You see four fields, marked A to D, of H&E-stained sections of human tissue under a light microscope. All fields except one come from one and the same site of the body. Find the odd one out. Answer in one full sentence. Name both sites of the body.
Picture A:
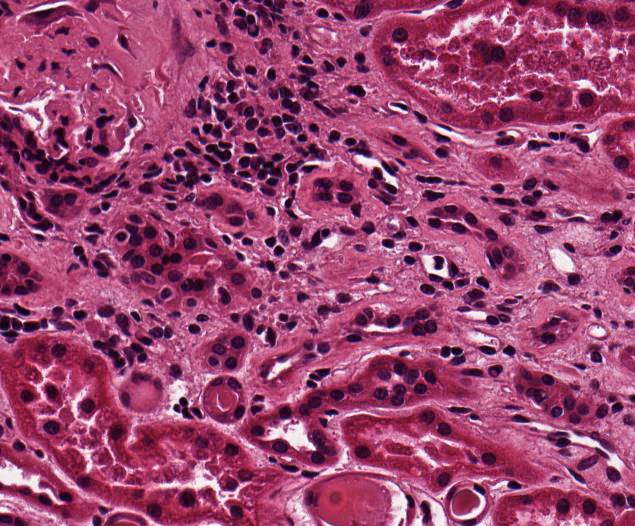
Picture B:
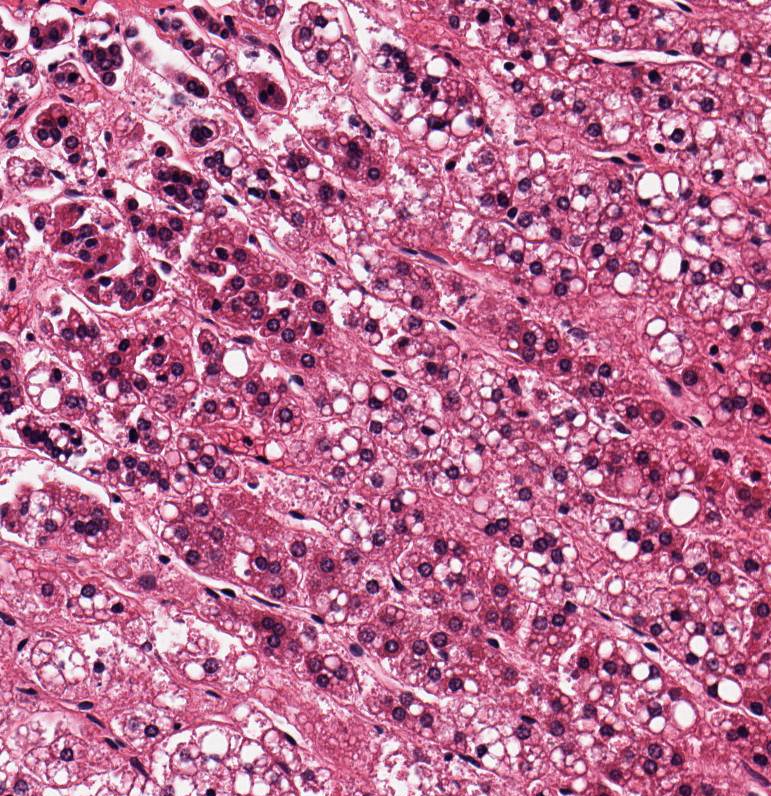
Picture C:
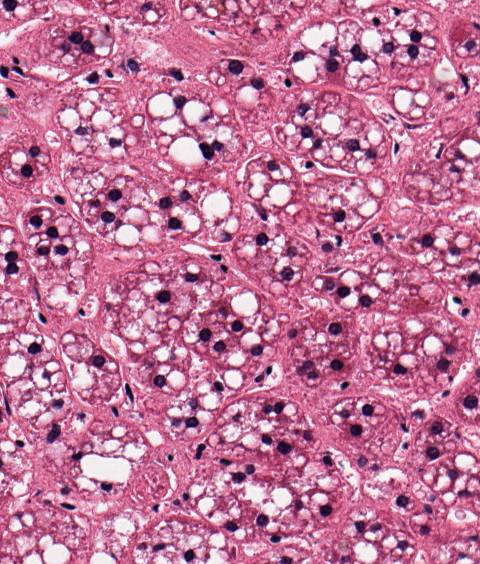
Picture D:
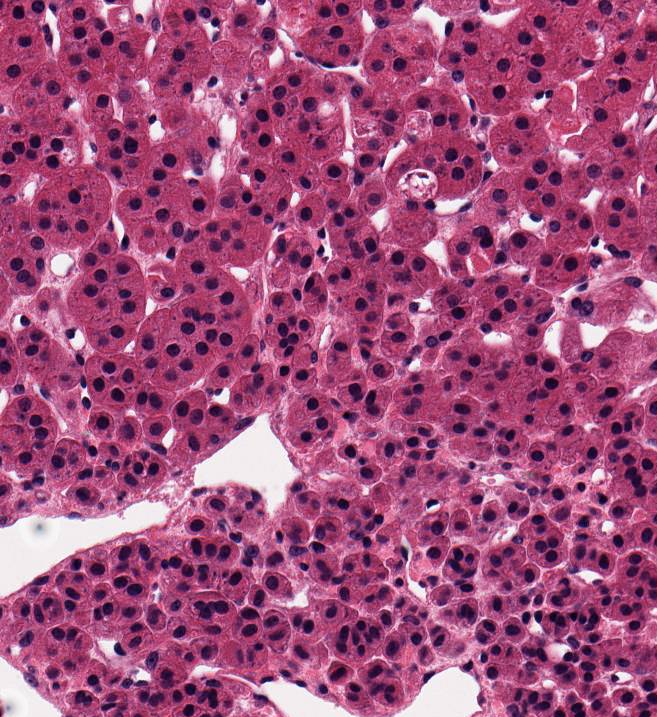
Unlike the rest, which come from the adrenal gland, picture A comes from the renal cortex.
